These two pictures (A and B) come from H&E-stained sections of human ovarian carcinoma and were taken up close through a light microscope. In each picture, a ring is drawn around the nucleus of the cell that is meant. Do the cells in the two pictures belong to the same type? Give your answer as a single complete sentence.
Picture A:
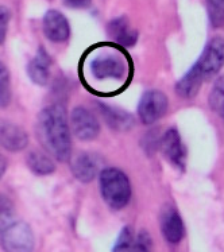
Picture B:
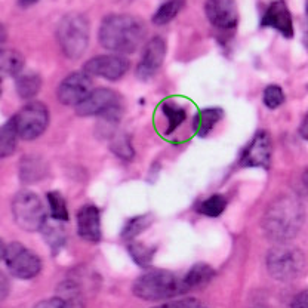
No. Picture A shows a carcinoma cell, but picture B shows a “macrophage or monocyte”.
